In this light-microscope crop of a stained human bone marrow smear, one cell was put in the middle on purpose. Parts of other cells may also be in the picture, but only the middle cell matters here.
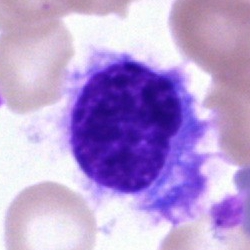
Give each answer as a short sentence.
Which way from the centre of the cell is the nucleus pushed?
It is shifted toward the upper left of the cell.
